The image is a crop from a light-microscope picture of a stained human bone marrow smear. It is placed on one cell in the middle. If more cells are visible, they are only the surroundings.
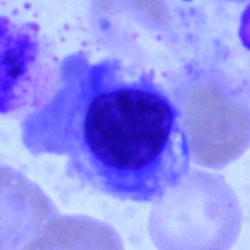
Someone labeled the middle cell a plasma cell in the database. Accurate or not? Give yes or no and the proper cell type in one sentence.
No, not a plasma cell here; the centered cell is an erythroblast.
